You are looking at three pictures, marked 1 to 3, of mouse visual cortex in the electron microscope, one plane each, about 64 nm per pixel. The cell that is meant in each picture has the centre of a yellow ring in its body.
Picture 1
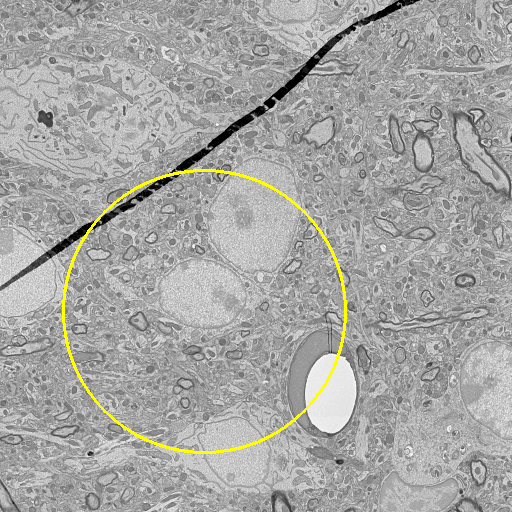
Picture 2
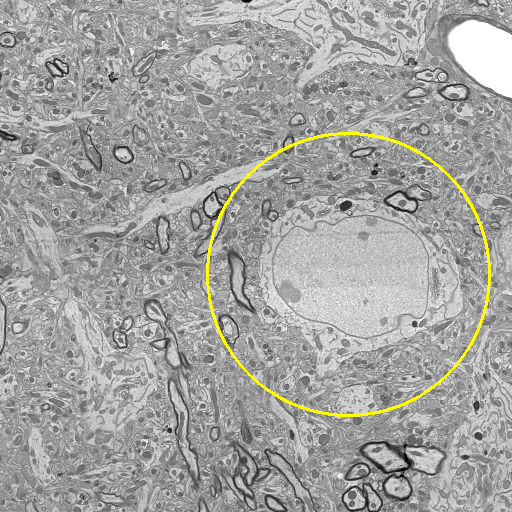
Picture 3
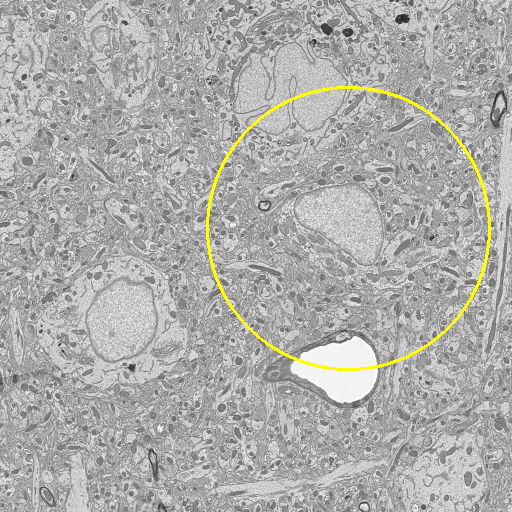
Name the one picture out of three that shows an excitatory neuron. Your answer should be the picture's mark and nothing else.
2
